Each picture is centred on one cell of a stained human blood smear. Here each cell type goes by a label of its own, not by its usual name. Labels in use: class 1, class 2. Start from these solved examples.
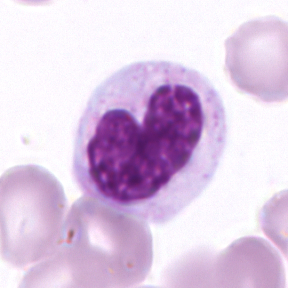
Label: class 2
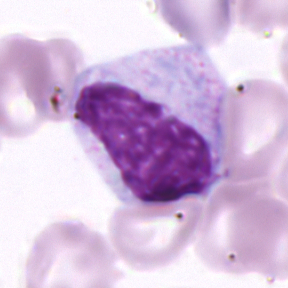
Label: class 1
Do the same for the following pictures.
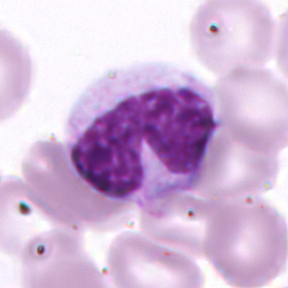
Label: class 2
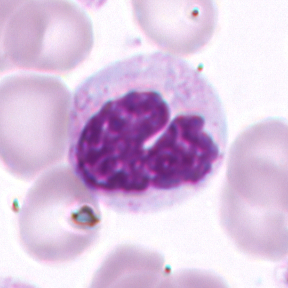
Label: class 2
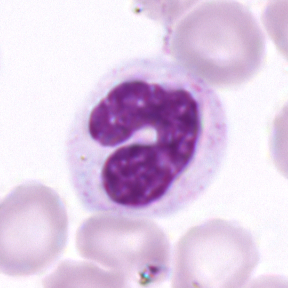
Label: class 2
